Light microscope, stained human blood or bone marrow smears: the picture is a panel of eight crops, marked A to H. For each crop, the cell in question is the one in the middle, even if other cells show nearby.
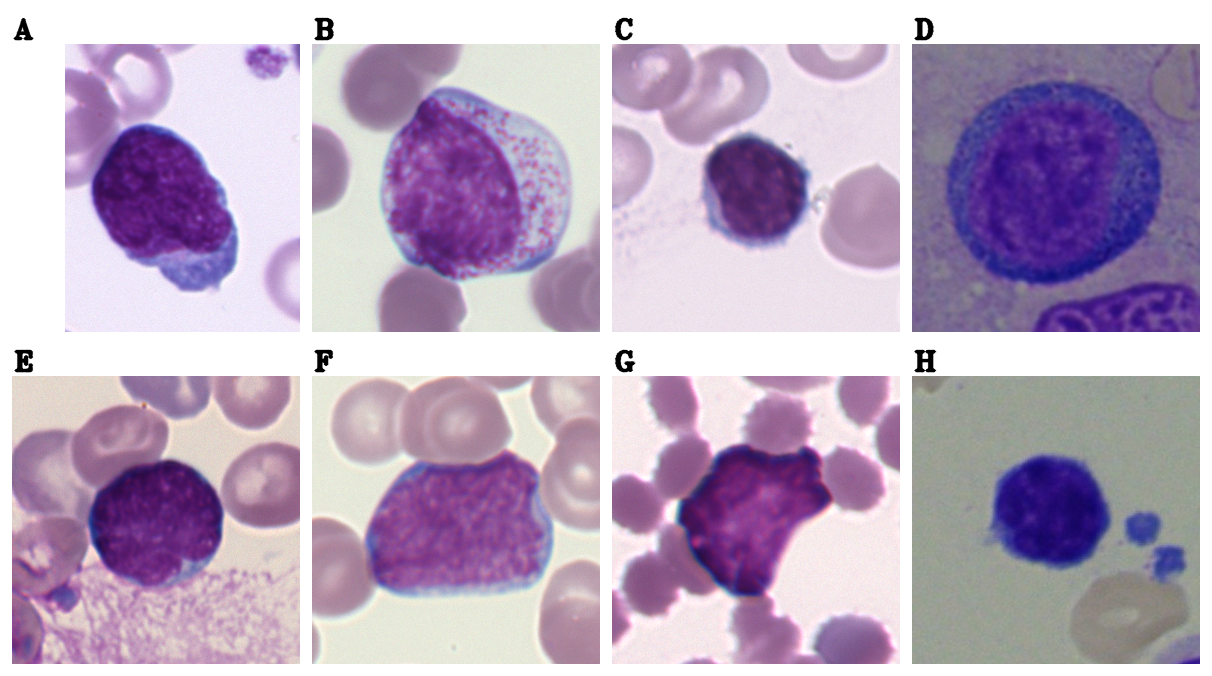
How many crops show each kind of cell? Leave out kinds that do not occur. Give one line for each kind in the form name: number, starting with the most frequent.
blast: 5
lymphocyte: 2
myelocyte: 1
